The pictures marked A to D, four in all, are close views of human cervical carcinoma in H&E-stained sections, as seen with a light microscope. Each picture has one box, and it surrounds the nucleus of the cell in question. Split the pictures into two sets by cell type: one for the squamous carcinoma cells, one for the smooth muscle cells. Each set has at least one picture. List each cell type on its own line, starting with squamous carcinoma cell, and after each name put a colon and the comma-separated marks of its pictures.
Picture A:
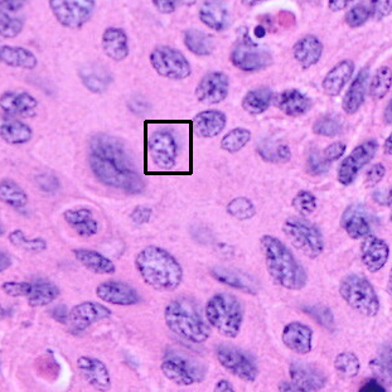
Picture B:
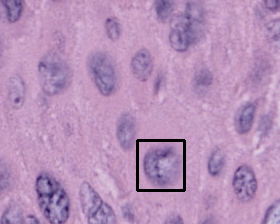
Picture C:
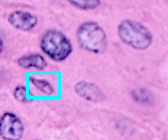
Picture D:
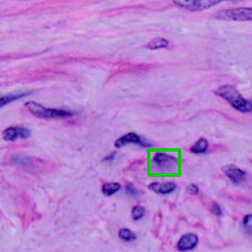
squamous carcinoma cell: A, B, C
smooth muscle cell: D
